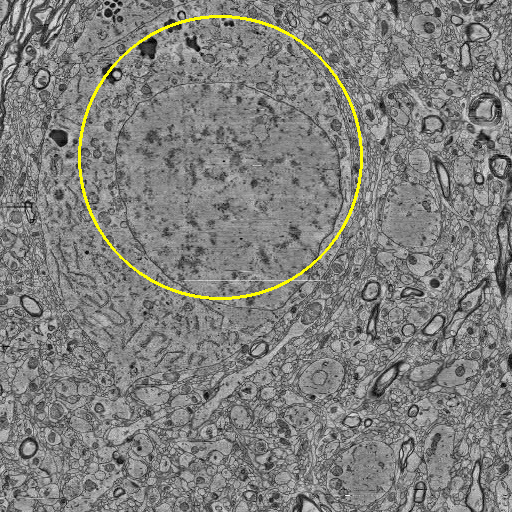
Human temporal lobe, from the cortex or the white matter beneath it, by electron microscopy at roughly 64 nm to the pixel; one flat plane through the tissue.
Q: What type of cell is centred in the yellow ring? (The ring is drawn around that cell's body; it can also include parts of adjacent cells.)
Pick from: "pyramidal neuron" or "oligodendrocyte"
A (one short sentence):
The yellow ring is centred on a pyramidal neuron.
